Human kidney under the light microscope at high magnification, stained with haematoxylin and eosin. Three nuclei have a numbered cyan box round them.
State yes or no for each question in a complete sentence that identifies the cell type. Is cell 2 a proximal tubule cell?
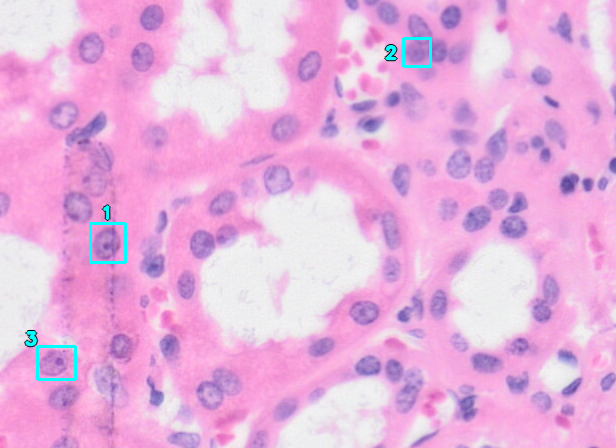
No, the cell carrying number 2 is a collecting duct cell, not a proximal tubule cell.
